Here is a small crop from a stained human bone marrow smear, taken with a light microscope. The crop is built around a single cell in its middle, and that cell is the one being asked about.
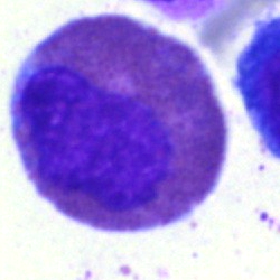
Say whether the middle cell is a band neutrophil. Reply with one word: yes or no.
no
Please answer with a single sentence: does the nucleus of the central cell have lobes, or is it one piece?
Please observe that the nucleus consists of one compact round, oval or kidney-shaped mass.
